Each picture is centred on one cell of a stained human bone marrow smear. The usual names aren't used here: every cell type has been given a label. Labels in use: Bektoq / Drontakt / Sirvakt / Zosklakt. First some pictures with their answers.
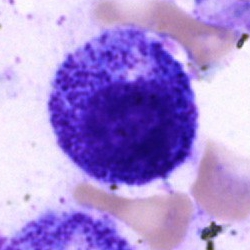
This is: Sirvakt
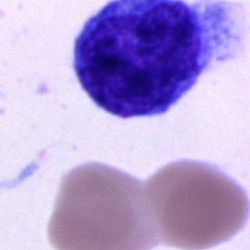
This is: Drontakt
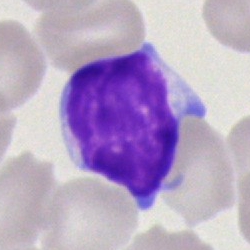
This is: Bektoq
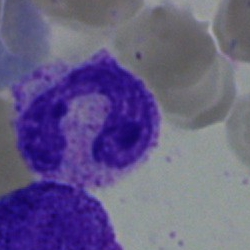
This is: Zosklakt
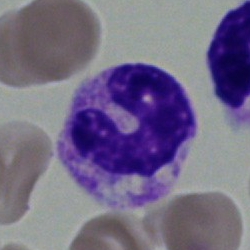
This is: Zosklakt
